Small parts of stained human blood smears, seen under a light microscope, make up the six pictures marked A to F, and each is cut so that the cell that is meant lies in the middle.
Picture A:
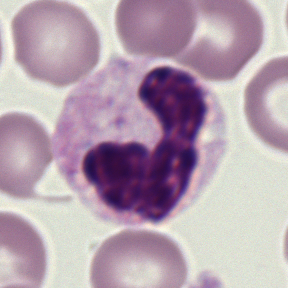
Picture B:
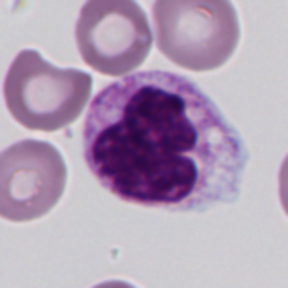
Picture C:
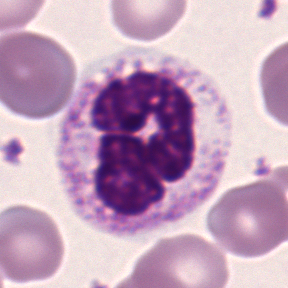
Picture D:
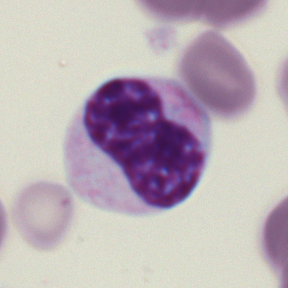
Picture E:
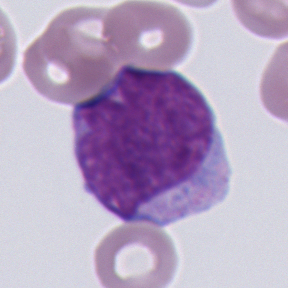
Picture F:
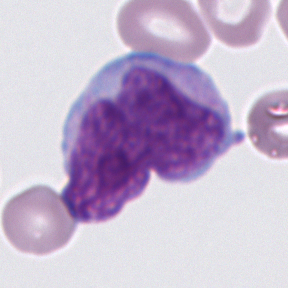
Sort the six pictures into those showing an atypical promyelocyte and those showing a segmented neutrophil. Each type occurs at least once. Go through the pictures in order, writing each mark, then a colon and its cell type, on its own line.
A: segmented neutrophil
B: segmented neutrophil
C: segmented neutrophil
D: segmented neutrophil
E: atypical promyelocyte
F: atypical promyelocyte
